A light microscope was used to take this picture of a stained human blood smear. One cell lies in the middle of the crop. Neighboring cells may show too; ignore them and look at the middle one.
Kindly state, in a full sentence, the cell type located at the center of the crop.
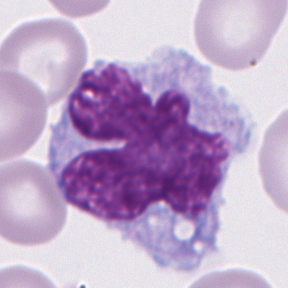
In the middle of this smear crop is a monocyte.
